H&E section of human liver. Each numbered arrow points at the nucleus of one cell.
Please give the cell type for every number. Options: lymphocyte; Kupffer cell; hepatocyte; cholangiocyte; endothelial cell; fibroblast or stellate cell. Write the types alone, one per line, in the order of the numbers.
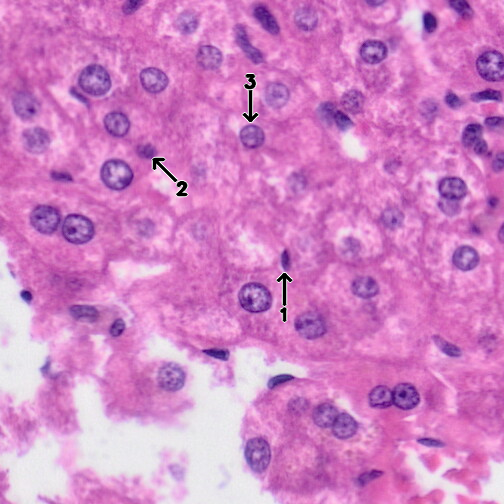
endothelial cell
fibroblast or stellate cell
hepatocyte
